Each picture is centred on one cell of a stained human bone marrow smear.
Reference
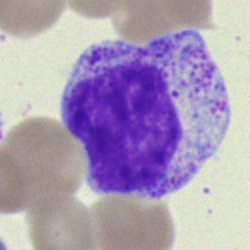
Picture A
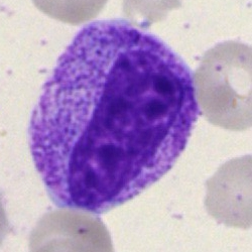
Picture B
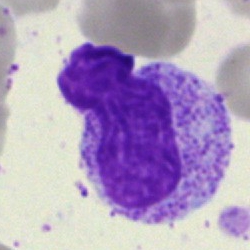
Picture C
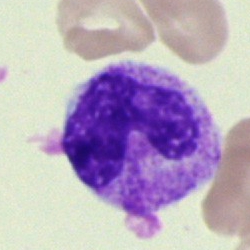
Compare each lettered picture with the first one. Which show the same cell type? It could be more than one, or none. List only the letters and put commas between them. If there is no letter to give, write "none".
A, B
